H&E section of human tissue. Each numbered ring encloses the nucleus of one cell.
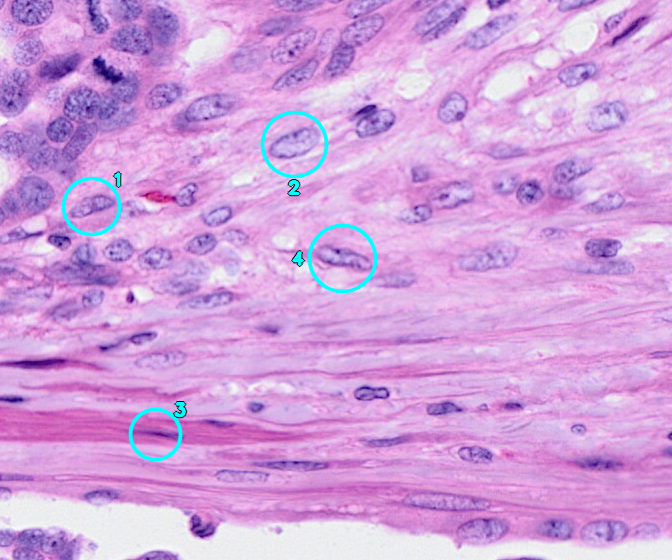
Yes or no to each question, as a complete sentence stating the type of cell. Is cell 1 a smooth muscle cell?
No, it is a fibroblast that is marked with number 1, not a smooth muscle cell.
